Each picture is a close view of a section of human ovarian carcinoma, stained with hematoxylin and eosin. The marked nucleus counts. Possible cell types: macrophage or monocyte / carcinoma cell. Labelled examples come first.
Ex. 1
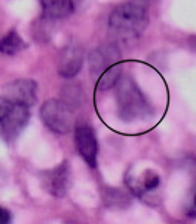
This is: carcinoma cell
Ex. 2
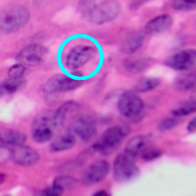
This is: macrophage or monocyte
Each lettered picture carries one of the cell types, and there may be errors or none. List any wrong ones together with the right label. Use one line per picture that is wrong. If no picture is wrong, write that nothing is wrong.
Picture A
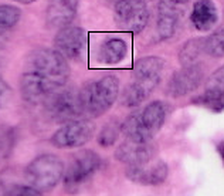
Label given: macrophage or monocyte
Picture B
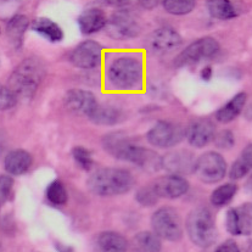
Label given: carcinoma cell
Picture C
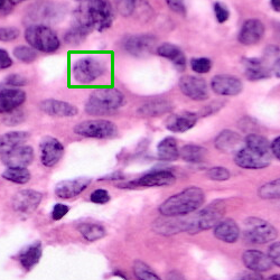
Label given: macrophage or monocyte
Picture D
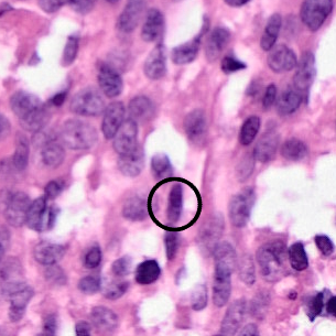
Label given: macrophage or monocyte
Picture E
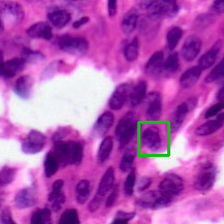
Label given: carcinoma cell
D is labelled macrophage or monocyte; correct label: carcinoma cell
